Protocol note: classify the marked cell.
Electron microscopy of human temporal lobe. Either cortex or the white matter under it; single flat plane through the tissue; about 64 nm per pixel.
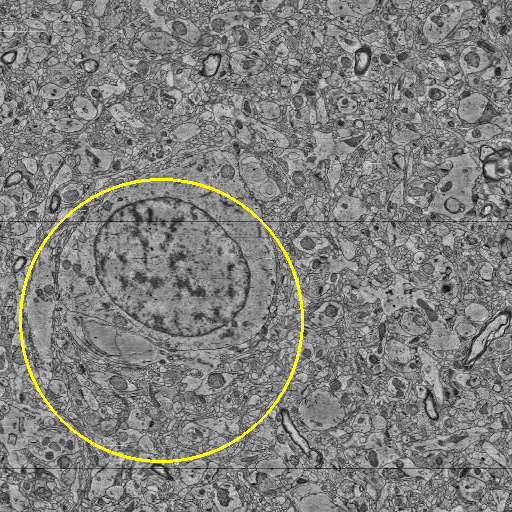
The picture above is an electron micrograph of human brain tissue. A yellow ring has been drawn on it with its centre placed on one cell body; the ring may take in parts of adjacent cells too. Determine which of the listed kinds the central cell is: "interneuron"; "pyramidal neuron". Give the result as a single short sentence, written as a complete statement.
The central cell is a pyramidal neuron.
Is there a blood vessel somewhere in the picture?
No, the image shows no blood vessel.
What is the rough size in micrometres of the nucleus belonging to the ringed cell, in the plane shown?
Roughly 10 by 8 micrometres in this plane, for the nucleus of the ringed cell.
